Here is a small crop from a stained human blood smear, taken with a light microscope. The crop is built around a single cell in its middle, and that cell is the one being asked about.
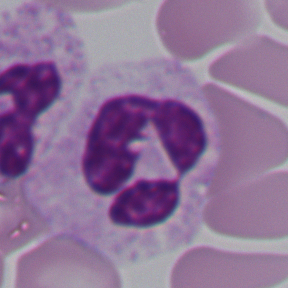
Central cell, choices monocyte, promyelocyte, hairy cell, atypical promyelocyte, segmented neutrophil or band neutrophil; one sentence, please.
The crop shows a segmented neutrophil in its centre.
